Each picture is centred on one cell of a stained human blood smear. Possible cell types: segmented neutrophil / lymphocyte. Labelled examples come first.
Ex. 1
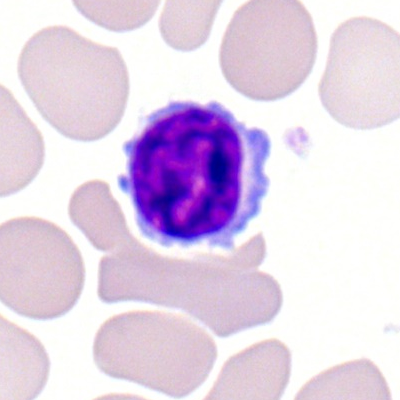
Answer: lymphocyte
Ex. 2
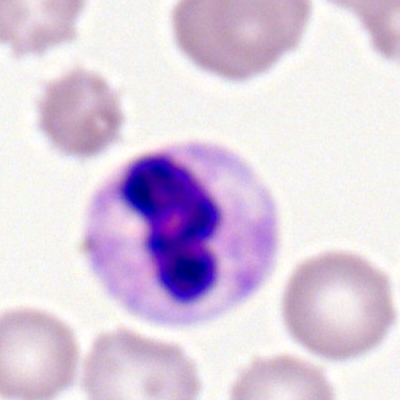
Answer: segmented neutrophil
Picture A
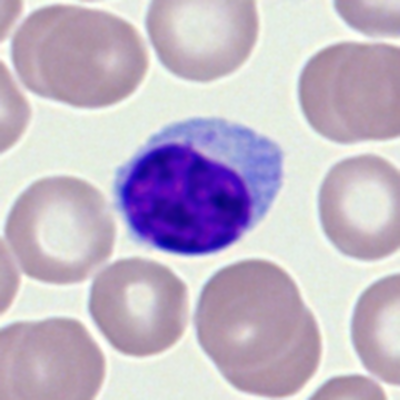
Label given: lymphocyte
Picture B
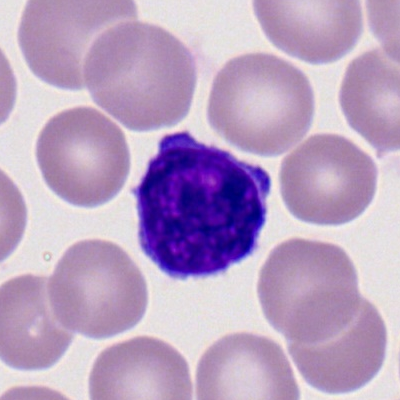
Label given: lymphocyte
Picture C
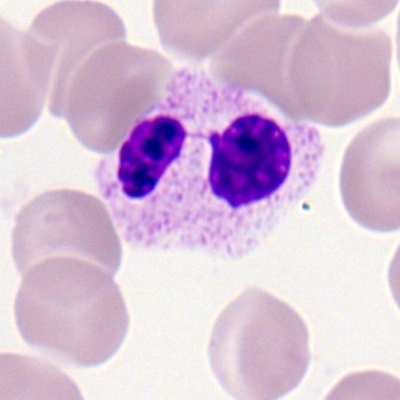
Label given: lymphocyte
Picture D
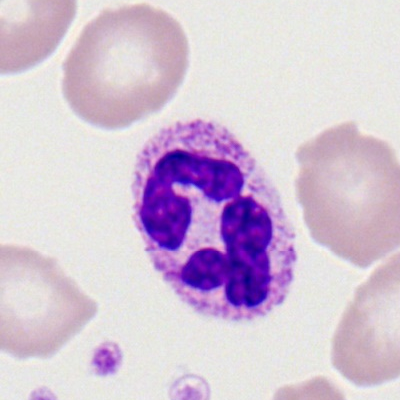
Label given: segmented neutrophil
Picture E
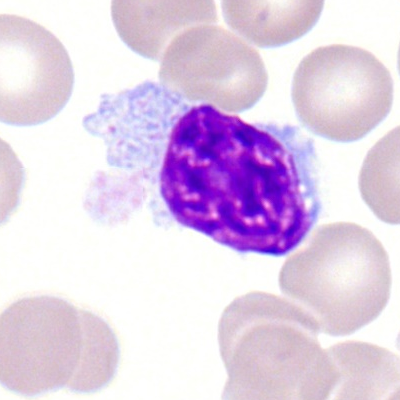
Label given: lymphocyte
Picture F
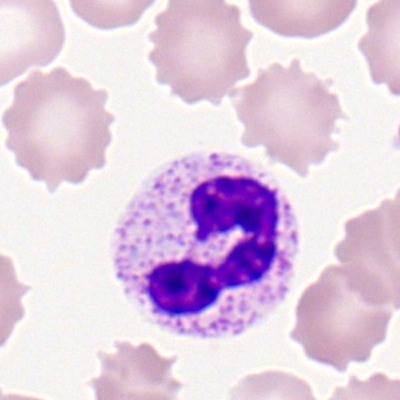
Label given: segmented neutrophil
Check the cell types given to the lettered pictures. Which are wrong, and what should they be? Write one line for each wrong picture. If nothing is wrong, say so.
C: not lymphocyte but segmented neutrophil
